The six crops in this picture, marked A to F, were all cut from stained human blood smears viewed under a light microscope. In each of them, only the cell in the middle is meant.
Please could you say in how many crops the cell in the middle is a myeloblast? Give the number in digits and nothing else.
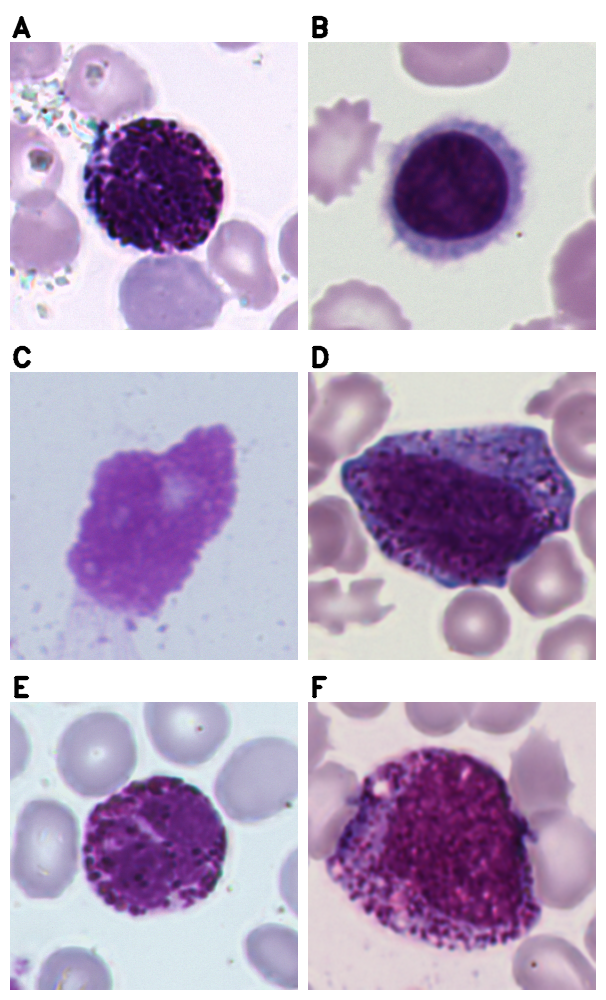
0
